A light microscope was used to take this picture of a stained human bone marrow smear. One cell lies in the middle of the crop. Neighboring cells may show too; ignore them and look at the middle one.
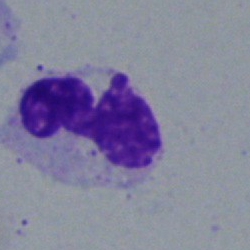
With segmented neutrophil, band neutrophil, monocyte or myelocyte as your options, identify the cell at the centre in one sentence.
The cell occupying the middle of the crop is a segmented neutrophil.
